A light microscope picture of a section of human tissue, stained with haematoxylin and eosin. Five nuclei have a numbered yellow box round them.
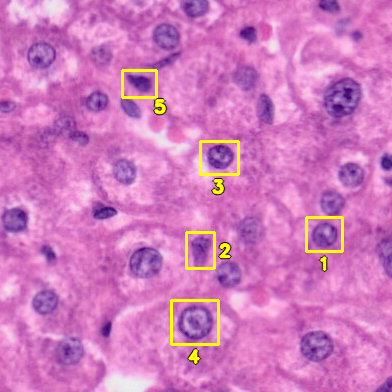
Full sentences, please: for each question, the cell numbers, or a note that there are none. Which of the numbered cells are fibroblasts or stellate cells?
The cells marked 2 and 5 in the section are fibroblasts or stellate cells.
